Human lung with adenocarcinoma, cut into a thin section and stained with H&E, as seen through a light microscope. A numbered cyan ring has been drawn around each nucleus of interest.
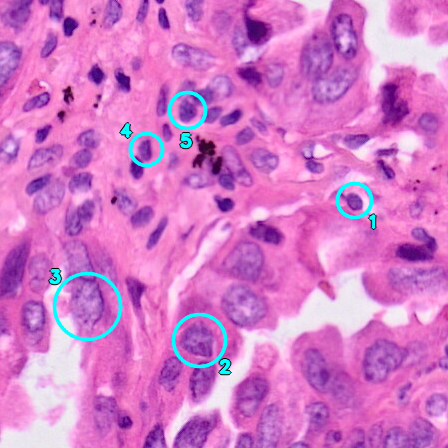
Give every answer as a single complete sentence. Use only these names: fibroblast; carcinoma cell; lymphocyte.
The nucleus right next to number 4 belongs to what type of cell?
It is a lymphocyte whose nucleus is nearest to number 4.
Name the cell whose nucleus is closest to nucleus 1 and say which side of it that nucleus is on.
Lying above and to the left of nucleus 1, the nearest nucleus is that of a fibroblast.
